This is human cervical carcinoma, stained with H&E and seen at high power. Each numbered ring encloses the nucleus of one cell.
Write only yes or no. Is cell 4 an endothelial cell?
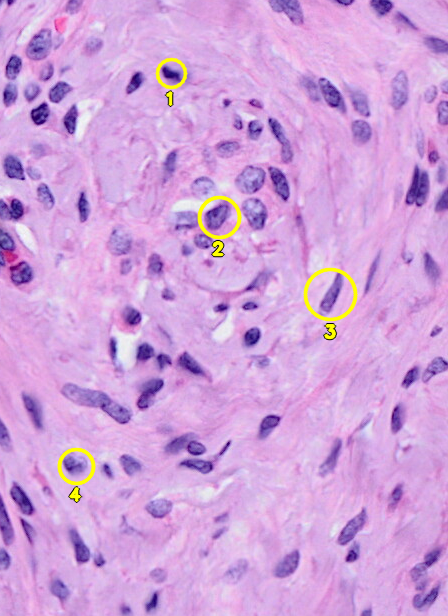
no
